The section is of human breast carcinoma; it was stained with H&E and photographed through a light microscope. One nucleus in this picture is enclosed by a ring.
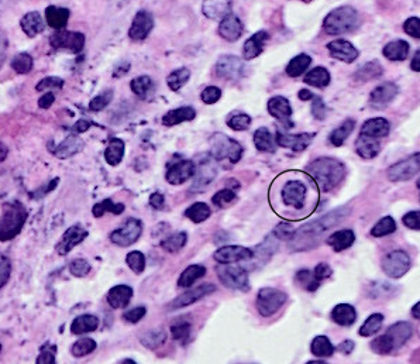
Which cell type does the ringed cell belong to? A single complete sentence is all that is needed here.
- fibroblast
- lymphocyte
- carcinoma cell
Speaking plainly, the ringed cell is nothing other than a lymphocyte.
